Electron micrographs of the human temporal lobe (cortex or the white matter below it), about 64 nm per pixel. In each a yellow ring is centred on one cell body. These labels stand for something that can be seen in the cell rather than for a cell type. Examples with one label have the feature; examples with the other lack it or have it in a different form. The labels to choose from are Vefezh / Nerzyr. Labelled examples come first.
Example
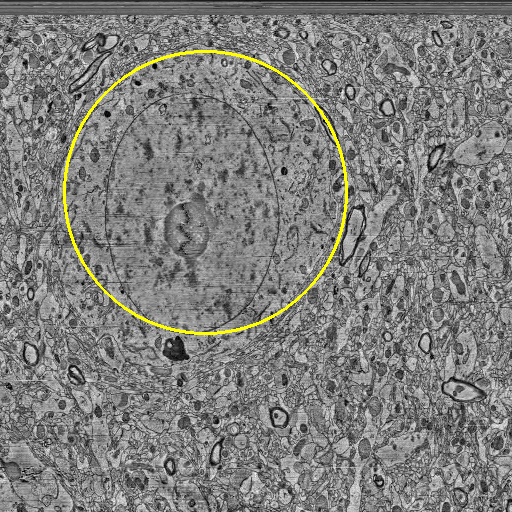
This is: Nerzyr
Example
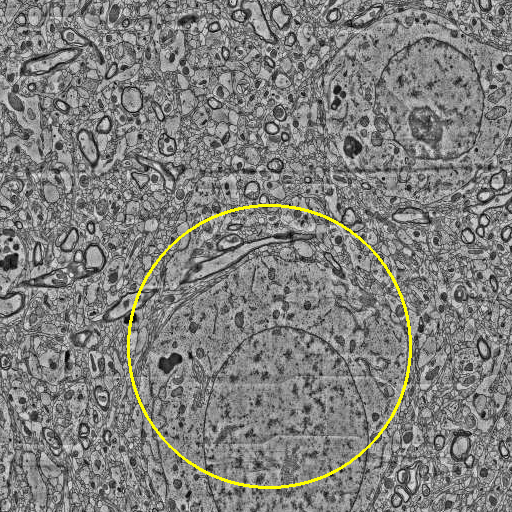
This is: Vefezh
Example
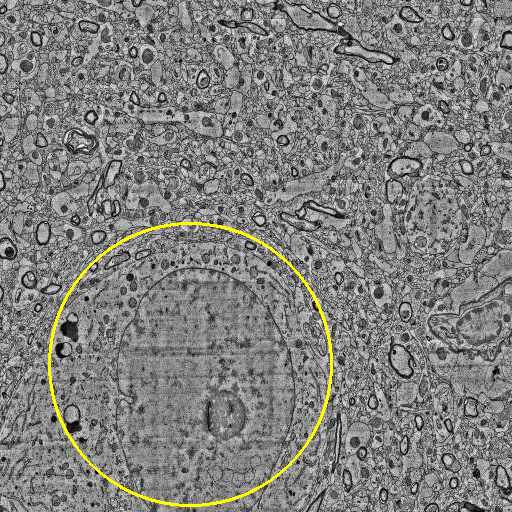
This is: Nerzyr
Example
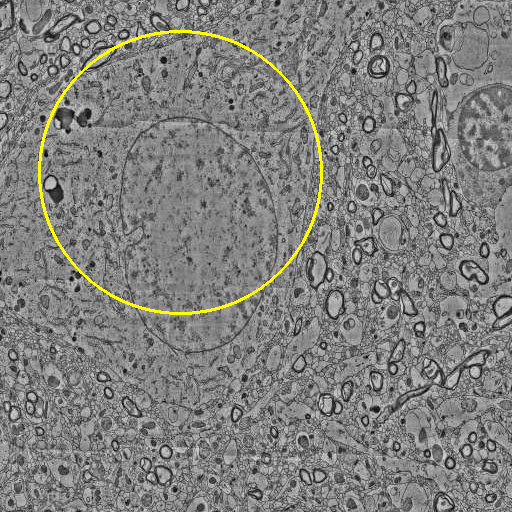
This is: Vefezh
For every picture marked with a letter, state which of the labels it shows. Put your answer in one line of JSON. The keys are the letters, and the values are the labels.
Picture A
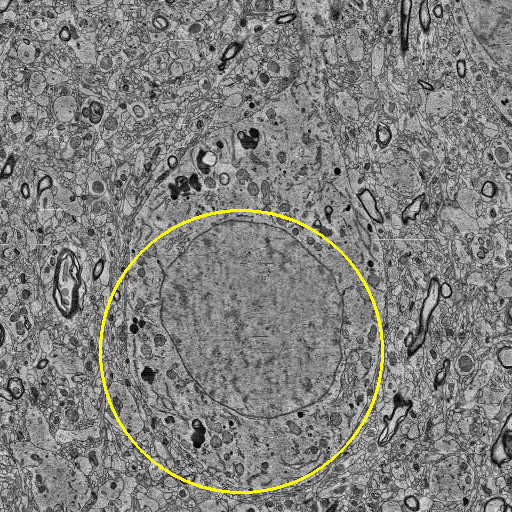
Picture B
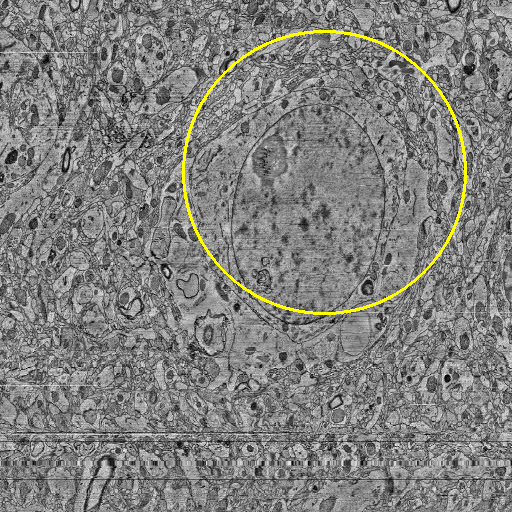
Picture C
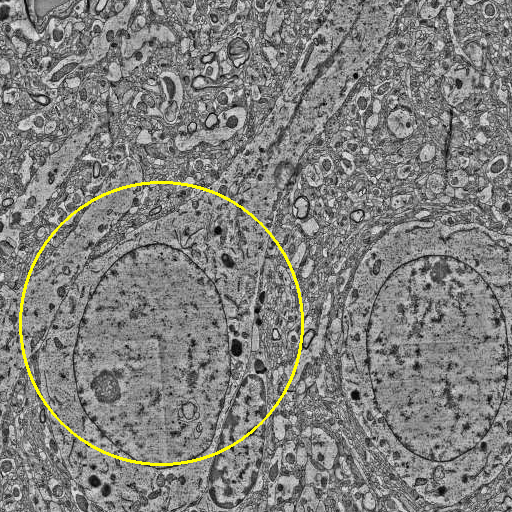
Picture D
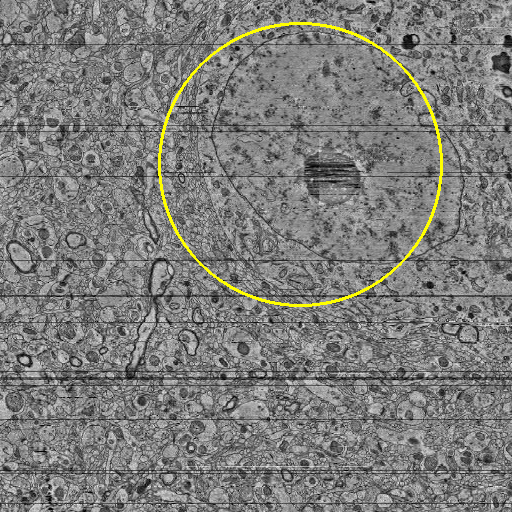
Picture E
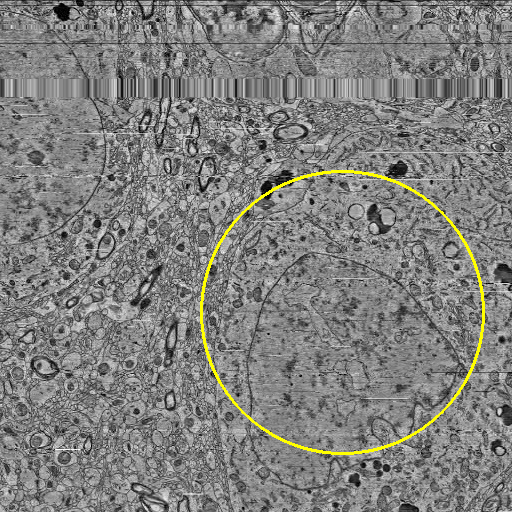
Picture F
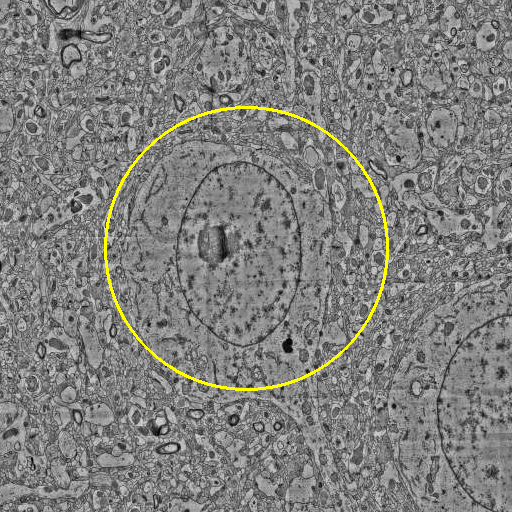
{"A": "Vefezh", "B": "Nerzyr", "C": "Nerzyr", "D": "Nerzyr", "E": "Vefezh", "F": "Nerzyr"}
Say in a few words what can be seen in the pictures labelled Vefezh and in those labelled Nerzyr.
Seen in Vefezh: no nucleolus seen; seen in Nerzyr: nucleolus seen.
